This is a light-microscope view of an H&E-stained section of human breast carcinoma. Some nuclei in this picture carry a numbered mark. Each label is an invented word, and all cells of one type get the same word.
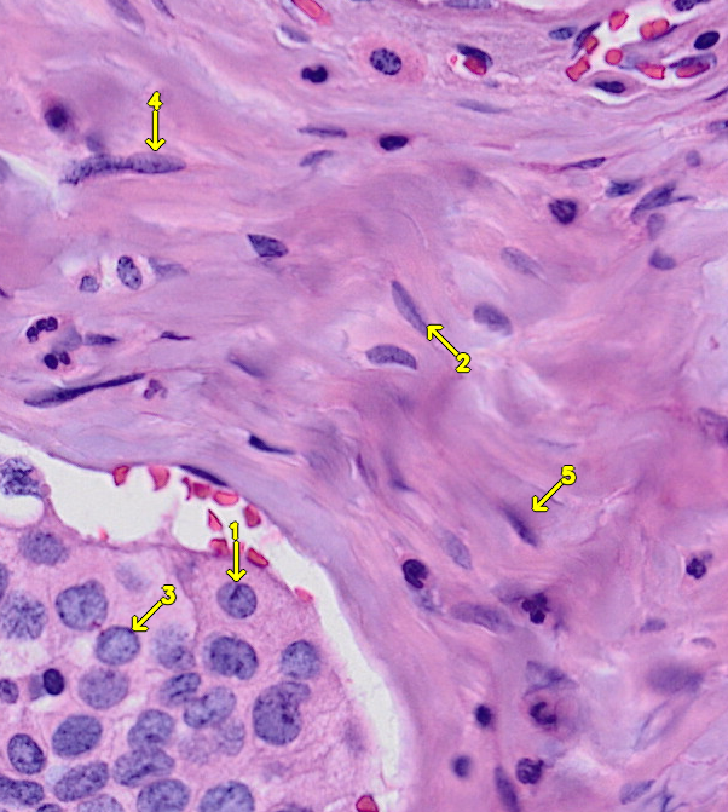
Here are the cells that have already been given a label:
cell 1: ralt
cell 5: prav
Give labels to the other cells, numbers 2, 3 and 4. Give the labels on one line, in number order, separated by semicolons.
prav; ralt; prav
